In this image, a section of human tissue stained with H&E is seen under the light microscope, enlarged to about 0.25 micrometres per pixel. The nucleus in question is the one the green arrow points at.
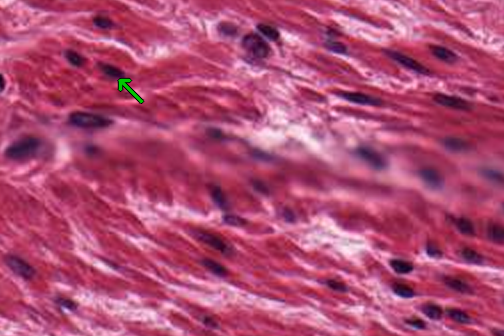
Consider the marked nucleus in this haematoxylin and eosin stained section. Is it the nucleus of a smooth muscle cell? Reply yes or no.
yes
